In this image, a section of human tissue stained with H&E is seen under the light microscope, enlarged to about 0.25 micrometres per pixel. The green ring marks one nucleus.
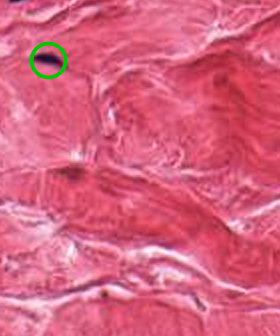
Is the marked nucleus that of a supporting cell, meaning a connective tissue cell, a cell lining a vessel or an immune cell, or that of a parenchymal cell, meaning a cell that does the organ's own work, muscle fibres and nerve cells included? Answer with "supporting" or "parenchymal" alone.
supporting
